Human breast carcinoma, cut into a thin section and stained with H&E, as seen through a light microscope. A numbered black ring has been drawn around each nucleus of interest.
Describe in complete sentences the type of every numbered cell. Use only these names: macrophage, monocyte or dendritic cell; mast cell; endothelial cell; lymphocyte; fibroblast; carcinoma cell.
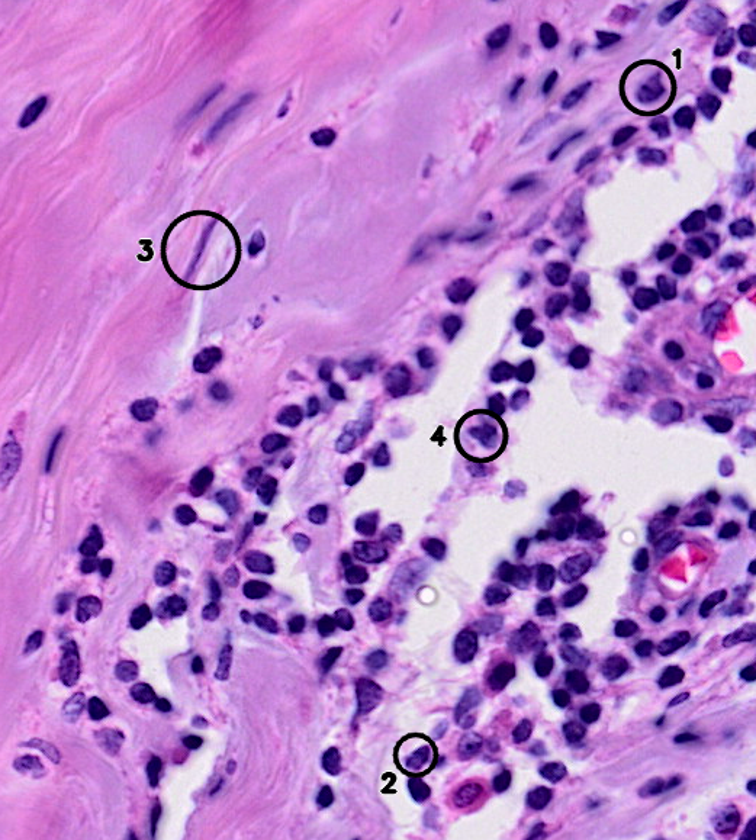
Cell 1 is a lymphocyte, cell 2 is a lymphocyte, cell 3 is a fibroblast and cell 4 is a lymphocyte.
